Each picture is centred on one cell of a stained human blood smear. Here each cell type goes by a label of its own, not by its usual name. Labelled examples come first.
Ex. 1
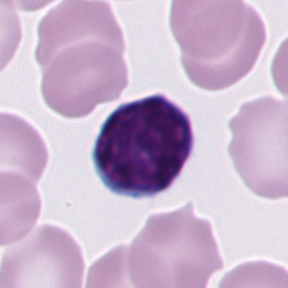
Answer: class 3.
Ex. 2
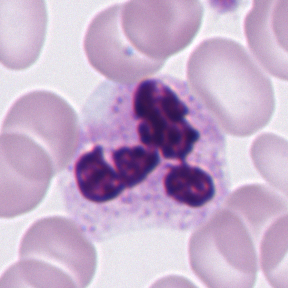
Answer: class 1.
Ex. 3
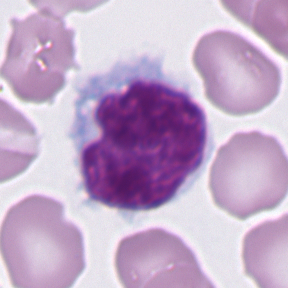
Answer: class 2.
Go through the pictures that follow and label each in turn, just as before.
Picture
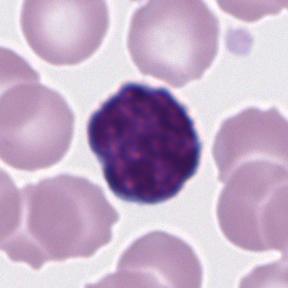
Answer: class 3.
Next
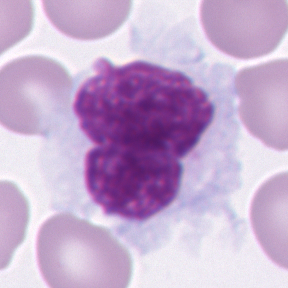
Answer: class 2.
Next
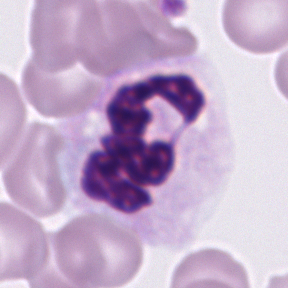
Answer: class 1.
